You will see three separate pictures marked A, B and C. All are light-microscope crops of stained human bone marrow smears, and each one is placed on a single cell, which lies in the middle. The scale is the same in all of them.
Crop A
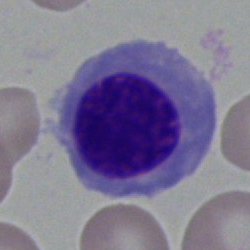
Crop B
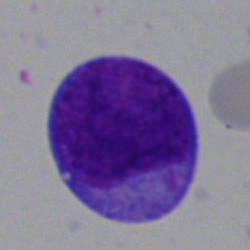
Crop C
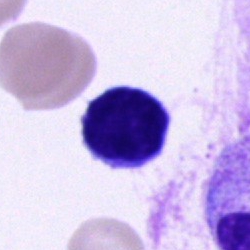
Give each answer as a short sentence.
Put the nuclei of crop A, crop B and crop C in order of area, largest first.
Going down, they run B, A, C.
